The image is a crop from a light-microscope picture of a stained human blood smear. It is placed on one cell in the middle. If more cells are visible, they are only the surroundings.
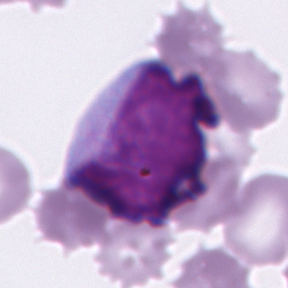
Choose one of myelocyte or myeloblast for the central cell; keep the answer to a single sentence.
The cell centered in this field of view is a myeloblast.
